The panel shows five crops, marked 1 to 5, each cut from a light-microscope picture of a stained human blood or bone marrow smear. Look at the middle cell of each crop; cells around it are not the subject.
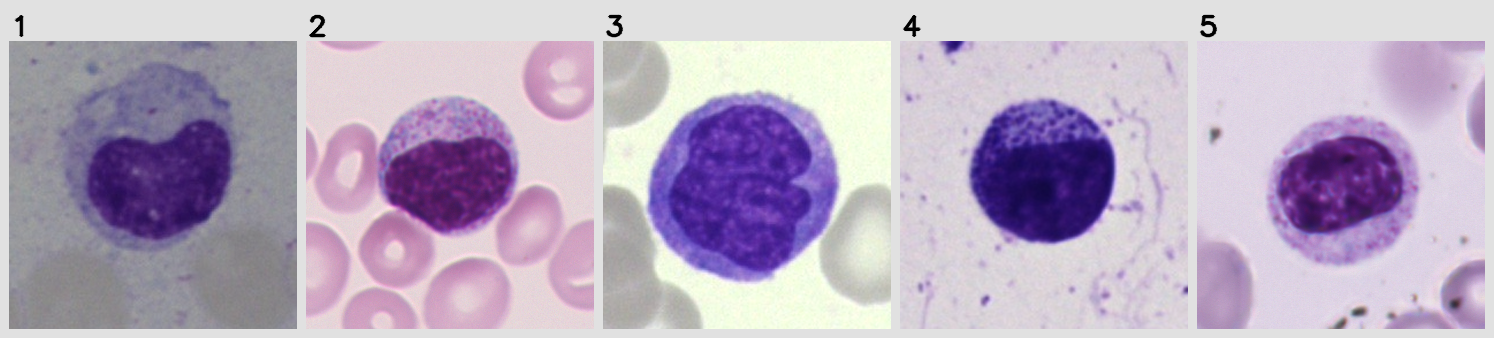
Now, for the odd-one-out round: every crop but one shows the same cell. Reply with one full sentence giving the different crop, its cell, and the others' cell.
Whereas the other crops all show metamyelocytes, crop 3 shows a monocyte.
